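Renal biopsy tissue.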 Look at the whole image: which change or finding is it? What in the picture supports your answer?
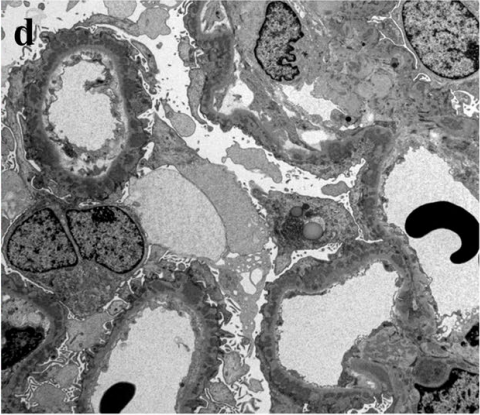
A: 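Subepithelial electron-dense deposits. Dark dense material lies along the outer side of the capillary wall basement membranes. The deposits are numerous around several capillary loops.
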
